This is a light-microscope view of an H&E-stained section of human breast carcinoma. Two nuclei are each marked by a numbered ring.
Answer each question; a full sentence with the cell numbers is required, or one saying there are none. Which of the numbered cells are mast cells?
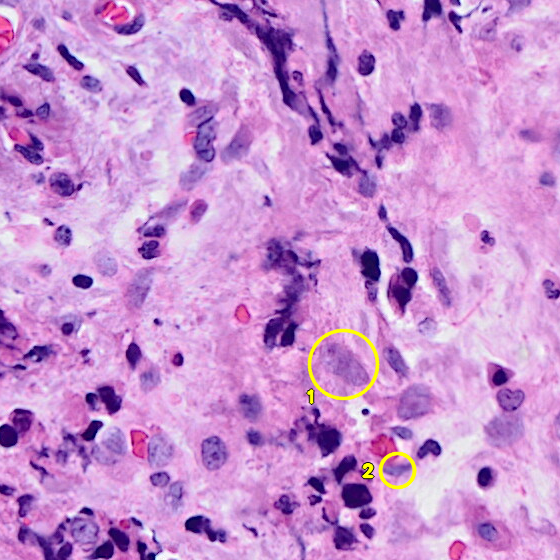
Among the marked and numbered cells, mast cells do not occur.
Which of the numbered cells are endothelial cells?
Of the cells marked with numbers, cell 2 is the only one that is an endothelial cell.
